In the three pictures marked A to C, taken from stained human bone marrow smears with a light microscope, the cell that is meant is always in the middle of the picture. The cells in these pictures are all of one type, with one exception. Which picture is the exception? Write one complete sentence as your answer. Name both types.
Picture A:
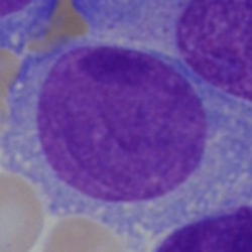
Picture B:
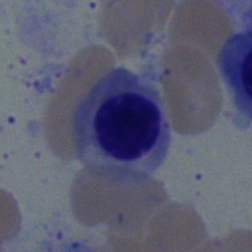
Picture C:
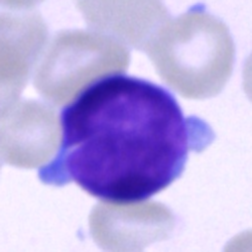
All pictures except B show blasts; picture B shows an erythroblast.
